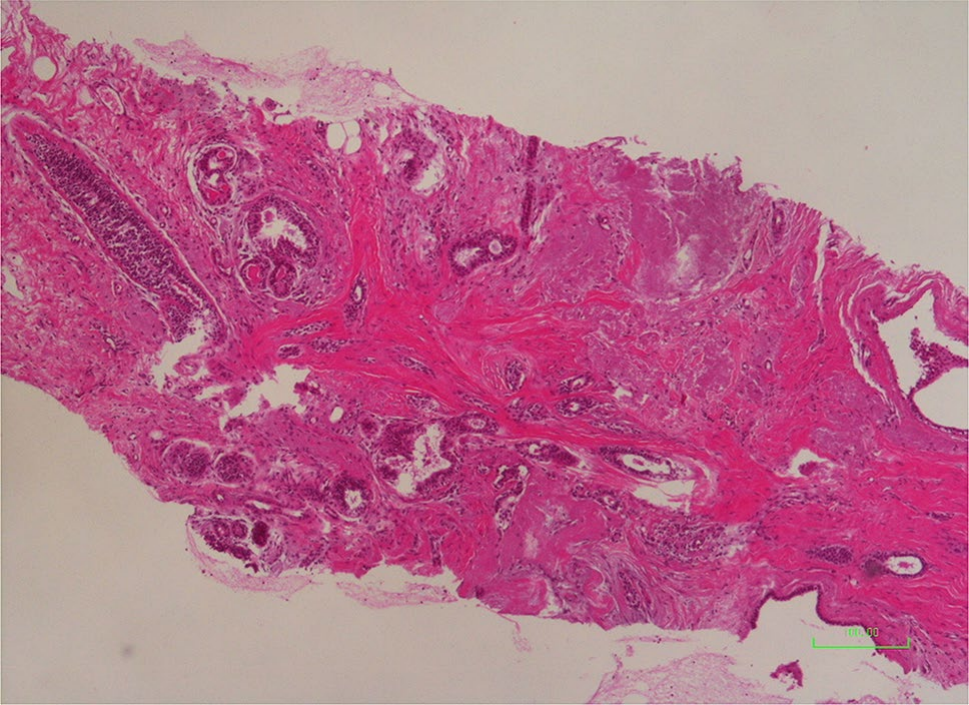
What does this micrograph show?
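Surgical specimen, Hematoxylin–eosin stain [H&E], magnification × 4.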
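This low-power view shows a fibrous lesion in which small glandular tubules are set in a dense stroma. Bright pink, glassy collagen bands cross the centre of the tissue, and small, compressed tubules with dark-nucleated epithelial linings are entrapped between them. In the upper right, a pale purplish-grey amorphous deposit stands out against the pink collagen. Larger ducts with lumens lie toward the edges, and a few clear fat cells are seen along the upper margin.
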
